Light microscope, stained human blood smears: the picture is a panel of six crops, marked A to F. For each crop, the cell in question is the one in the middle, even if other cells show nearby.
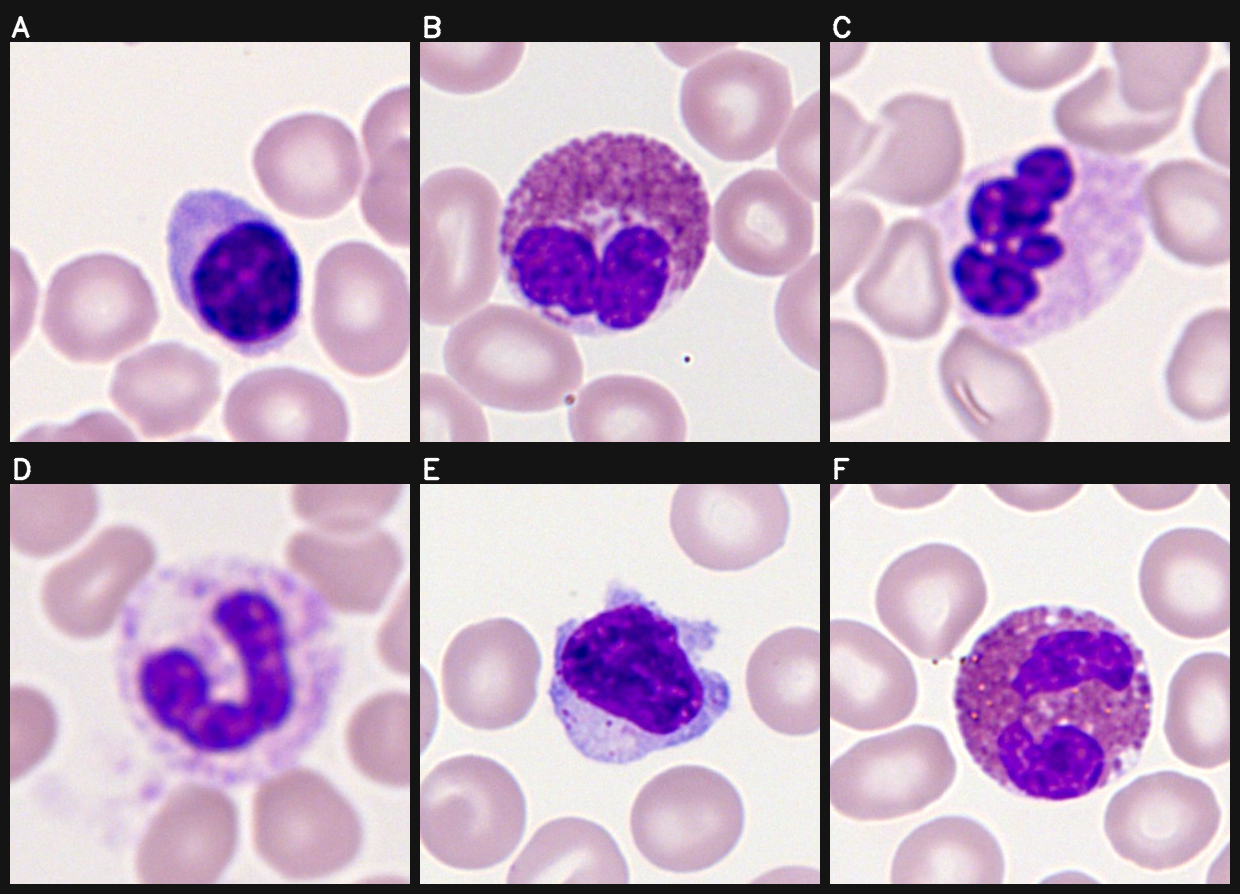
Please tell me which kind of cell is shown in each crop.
A: erythroblast
B: eosinophil
C: segmented neutrophil
D: band neutrophil
E: lymphocyte
F: eosinophil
